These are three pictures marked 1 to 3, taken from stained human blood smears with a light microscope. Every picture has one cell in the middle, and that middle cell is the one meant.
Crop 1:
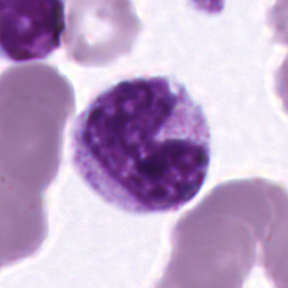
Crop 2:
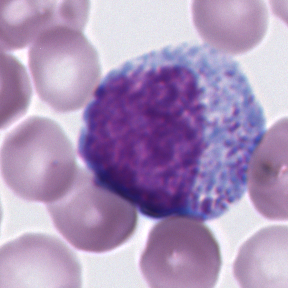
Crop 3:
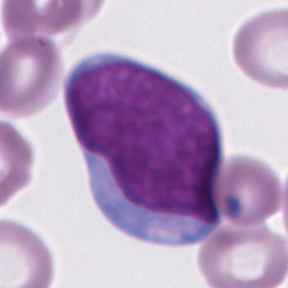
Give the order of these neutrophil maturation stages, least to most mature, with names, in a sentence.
In terms of maturity, from lowest to highest, the order reads crop 3 (a myeloblast), crop 2 (a promyelocyte) and crop 1 (a metamyelocyte).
